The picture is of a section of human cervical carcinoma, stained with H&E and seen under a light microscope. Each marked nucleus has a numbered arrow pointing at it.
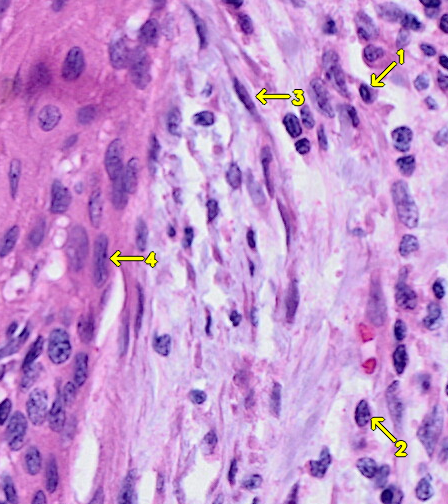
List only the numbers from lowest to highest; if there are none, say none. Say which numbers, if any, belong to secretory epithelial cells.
none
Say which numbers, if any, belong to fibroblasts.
3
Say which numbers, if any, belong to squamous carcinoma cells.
4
